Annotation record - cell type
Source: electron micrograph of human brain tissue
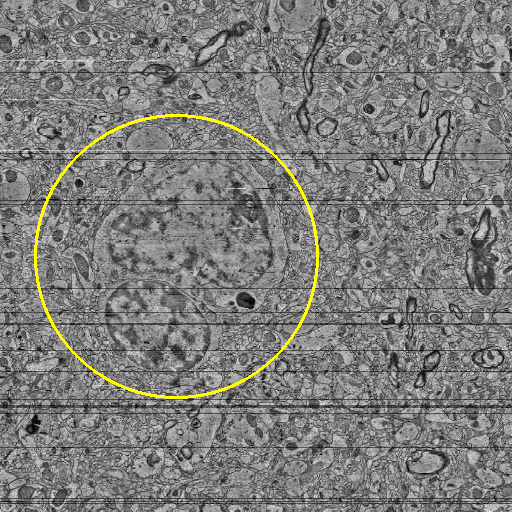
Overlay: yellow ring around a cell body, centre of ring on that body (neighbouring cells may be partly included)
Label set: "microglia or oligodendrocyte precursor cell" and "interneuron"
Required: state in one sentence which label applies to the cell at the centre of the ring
This cell should be labelled as an interneuron.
